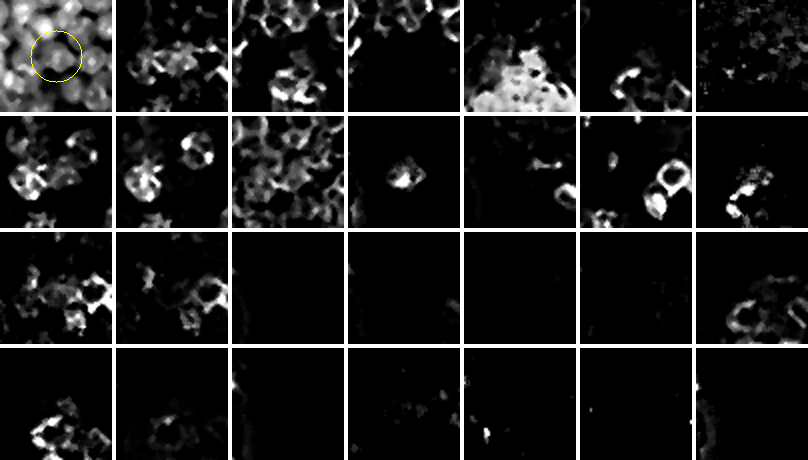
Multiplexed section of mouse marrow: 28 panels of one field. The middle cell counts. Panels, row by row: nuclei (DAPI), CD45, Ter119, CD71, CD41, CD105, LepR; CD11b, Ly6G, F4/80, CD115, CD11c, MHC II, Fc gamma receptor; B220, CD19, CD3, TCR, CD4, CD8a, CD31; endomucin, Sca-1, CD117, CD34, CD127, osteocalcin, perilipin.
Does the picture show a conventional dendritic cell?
No, it shows a monocyte.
